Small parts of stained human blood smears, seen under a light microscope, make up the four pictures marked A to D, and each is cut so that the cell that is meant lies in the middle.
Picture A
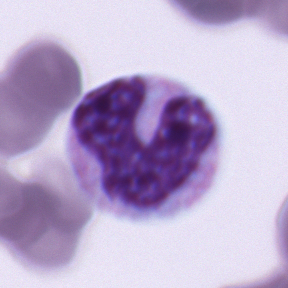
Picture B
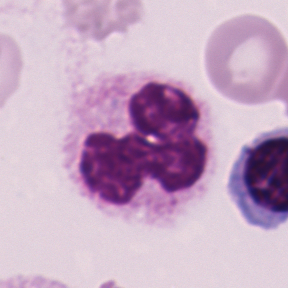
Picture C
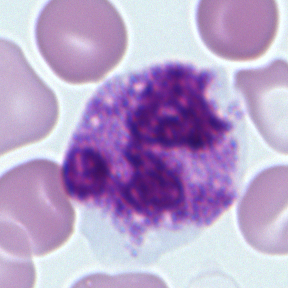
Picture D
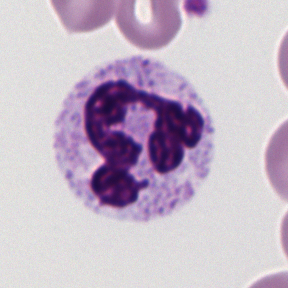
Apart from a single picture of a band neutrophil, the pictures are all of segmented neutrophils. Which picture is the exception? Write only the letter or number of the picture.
A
